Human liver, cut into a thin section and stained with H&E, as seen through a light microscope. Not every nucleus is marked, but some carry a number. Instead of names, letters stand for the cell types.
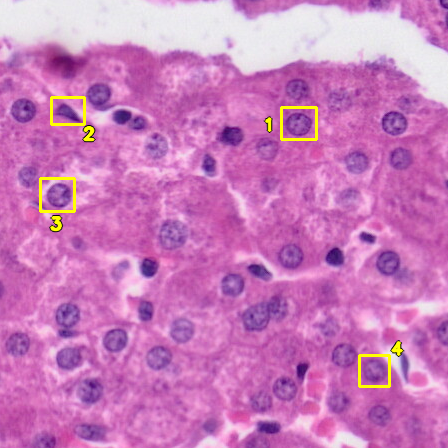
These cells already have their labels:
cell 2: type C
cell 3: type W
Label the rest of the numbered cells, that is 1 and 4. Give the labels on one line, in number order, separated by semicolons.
type W; type W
